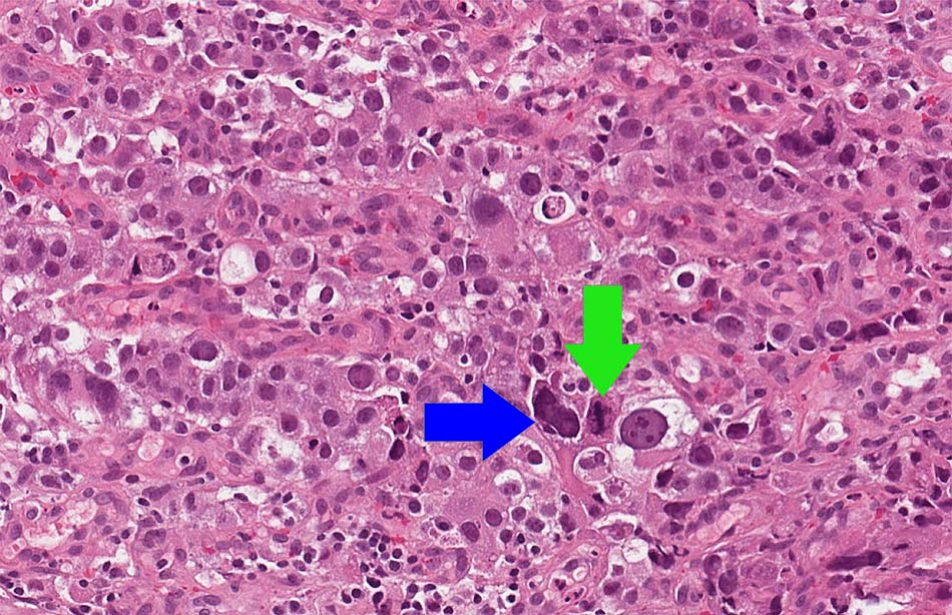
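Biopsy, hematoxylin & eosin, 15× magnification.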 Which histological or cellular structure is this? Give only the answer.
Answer: Solid sheets of large polygonal cells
